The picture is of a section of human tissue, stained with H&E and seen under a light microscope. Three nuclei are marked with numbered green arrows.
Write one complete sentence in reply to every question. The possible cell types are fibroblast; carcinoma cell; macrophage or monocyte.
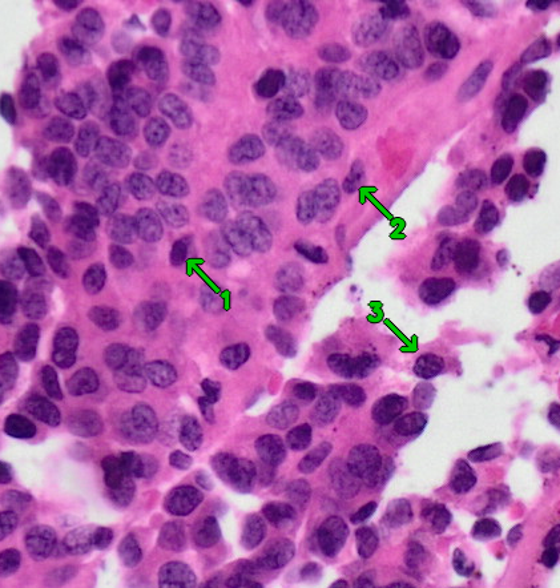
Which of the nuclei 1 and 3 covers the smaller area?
Nucleus 1 covers less area, with nucleus 3 about 1.5 times as large.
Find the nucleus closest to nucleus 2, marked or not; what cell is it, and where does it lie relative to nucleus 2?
The nearest nucleus is that of a carcinoma cell and lies below and to the left of nucleus 2.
